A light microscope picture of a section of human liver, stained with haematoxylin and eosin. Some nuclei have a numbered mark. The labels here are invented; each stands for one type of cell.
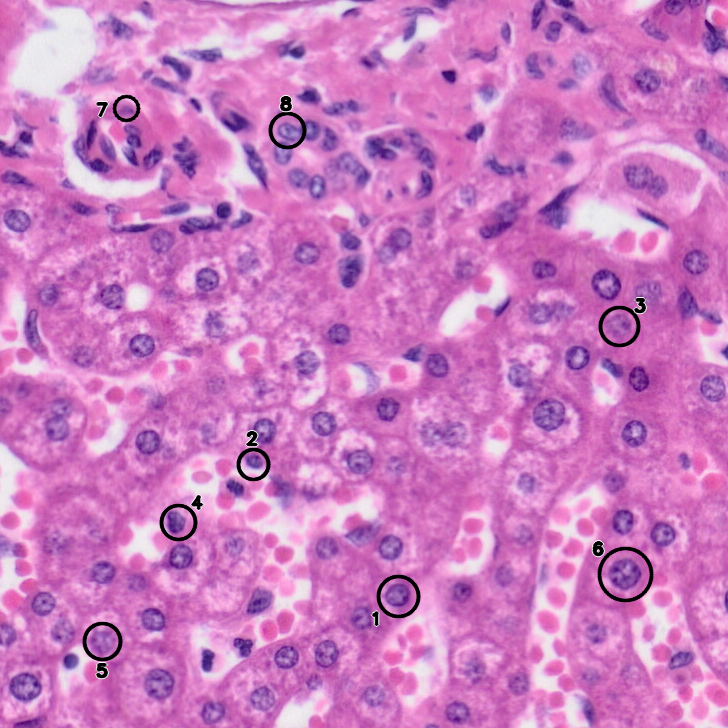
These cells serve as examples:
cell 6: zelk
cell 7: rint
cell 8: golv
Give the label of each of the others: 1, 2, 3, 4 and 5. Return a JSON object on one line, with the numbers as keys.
{"1": "zelk", "2": "rint", "3": "zelk", "4": "rint", "5": "zelk"}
